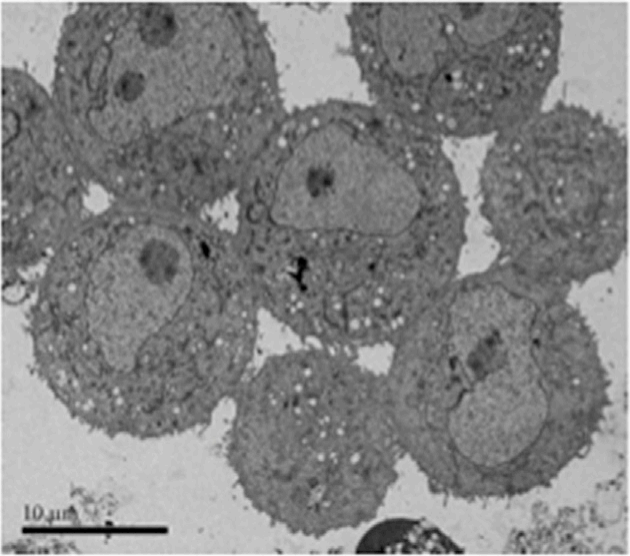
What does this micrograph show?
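This transmission electron micrograph shows a tight cluster of rounded cells pressed against one another. The cell surfaces bristle with short microvilli, and neighbouring cells touch both through these projections and along longer stretches of closely apposed membrane.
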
